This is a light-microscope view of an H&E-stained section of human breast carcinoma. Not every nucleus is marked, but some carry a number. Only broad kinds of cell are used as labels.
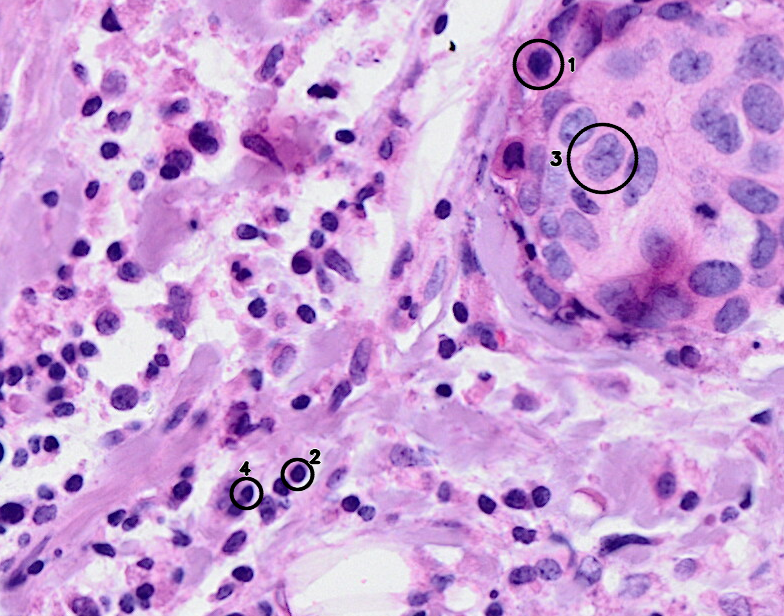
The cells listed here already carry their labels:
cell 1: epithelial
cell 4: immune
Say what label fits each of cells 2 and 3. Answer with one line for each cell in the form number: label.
2: immune
3: epithelial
